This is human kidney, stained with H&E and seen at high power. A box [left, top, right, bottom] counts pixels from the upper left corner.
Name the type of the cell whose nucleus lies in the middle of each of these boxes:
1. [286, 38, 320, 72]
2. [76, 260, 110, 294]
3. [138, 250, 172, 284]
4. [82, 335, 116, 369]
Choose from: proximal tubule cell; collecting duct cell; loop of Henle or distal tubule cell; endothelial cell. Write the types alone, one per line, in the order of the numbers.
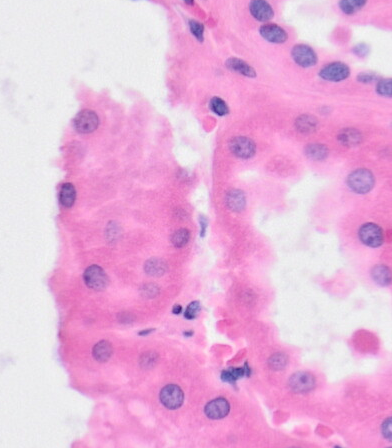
loop of Henle or distal tubule cell
proximal tubule cell
proximal tubule cell
proximal tubule cell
